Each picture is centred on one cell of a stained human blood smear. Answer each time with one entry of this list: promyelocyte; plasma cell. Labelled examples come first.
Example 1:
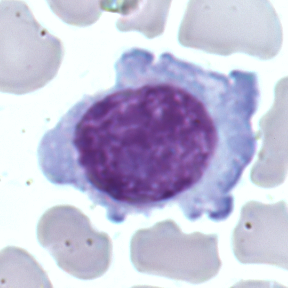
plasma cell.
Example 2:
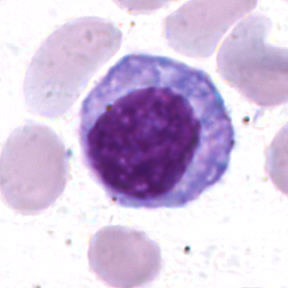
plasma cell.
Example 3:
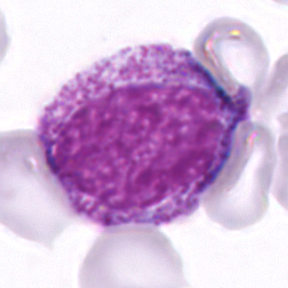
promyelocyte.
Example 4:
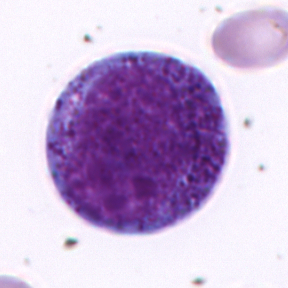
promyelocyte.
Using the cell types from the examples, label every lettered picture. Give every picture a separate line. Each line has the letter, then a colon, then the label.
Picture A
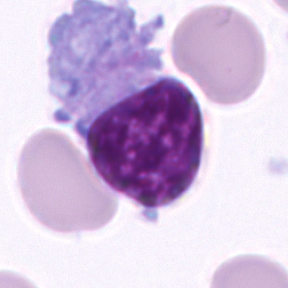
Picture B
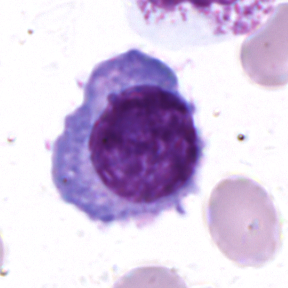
A: plasma cell.
B: plasma cell.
